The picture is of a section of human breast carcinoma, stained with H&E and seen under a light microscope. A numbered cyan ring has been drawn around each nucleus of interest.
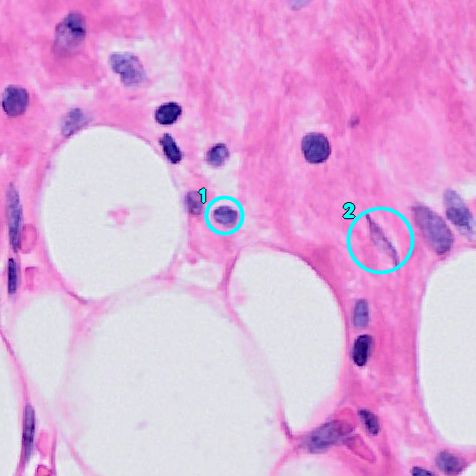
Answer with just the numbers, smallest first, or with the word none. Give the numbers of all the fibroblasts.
2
